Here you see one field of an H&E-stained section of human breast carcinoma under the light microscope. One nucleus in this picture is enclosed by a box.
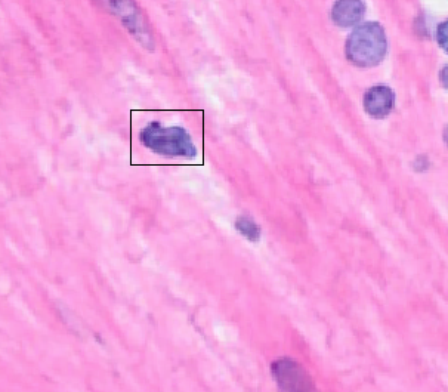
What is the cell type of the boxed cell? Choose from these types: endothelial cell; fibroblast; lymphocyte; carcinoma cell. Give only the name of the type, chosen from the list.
lymphocyte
